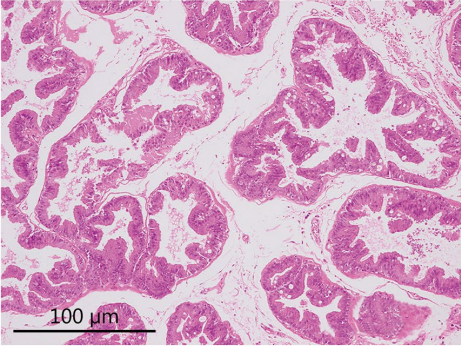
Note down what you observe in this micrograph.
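The epithelium is thick and thrown into many papillary folds that project deep into the lumens, so that the glands have crowded, branching, irregular outlines rather than smooth round ones. The lumens are narrowed and hold only a little pale pink material. Between the glands lies a pale pink loose stroma with thin fibres and a few scattered nuclei. The picture is one of glandular epithelial overgrowth, with folded, multilayered lining and reduced lumen space, unlike thin-walled glands distended with secretion.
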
